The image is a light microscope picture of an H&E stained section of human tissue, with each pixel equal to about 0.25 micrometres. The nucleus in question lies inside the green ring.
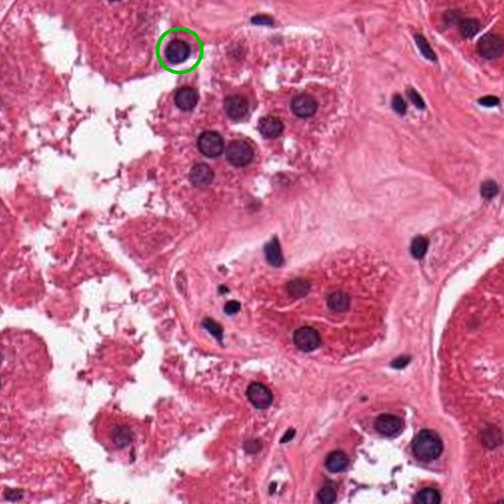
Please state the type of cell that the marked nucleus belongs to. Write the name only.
proximal tubule cell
